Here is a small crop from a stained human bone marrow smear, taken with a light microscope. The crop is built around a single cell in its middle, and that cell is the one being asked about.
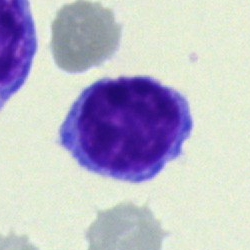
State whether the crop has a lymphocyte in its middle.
yes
